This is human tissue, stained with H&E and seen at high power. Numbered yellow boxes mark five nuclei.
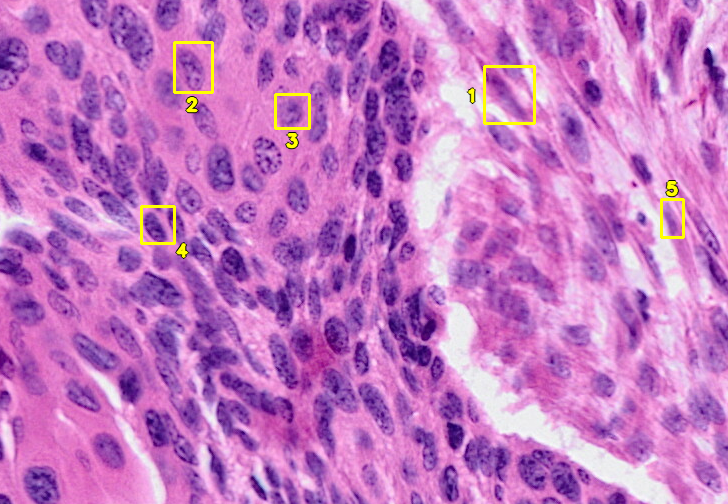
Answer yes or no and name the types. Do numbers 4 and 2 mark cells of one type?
Yes, cells 4 and 2 are both termed squamous carcinoma cells.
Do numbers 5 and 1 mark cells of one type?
Yes, just like cell 5, cell 1 is one of the fibroblasts.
